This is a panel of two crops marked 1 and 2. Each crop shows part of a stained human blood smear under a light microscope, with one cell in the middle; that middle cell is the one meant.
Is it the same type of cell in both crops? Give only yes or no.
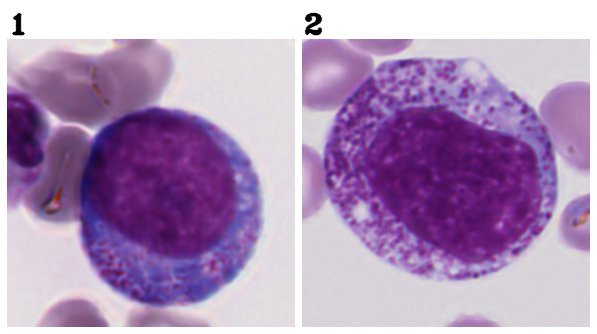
yes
